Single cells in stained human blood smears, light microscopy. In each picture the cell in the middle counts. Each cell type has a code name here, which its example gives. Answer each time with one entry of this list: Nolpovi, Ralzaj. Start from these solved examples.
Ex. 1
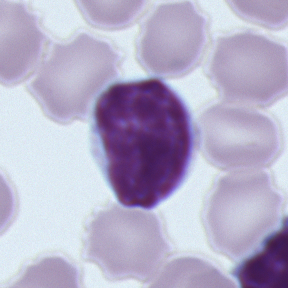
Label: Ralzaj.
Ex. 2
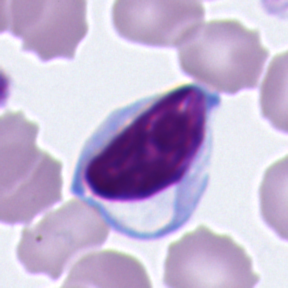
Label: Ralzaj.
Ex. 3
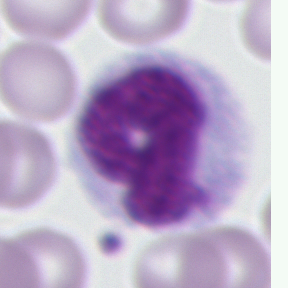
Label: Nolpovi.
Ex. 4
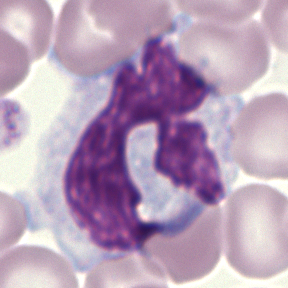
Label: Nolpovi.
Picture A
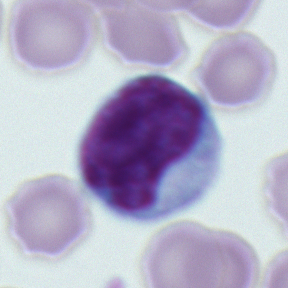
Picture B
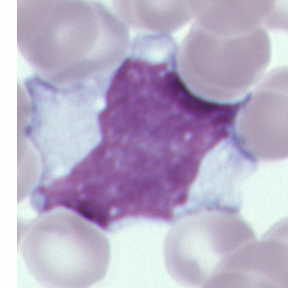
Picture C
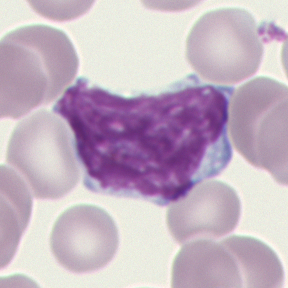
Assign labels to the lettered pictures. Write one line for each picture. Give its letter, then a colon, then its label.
A: Ralzaj.
B: Nolpovi.
C: Ralzaj.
